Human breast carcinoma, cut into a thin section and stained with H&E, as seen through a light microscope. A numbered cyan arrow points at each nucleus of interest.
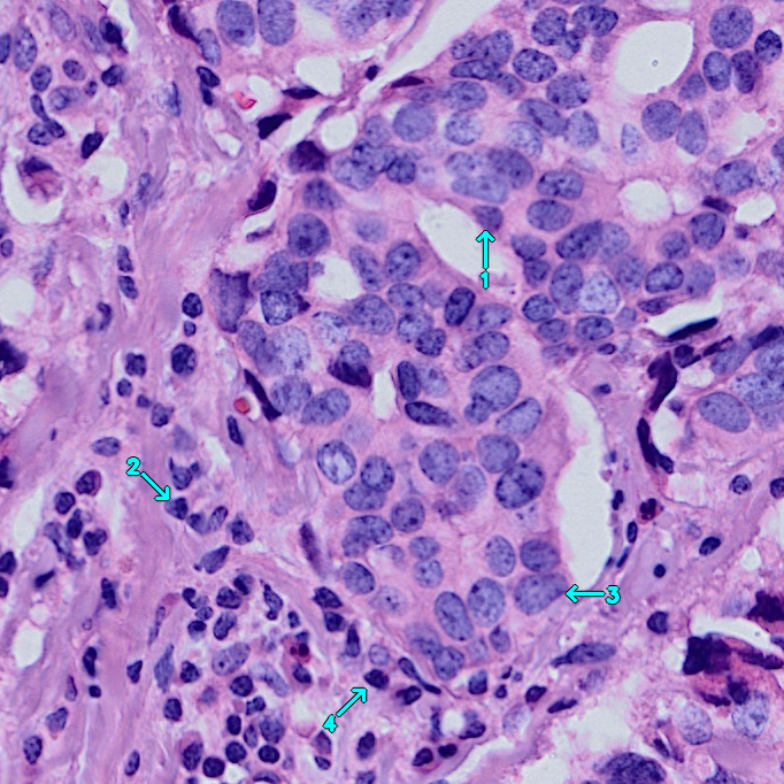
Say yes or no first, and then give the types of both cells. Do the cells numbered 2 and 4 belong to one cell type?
Yes, both are lymphocytes.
